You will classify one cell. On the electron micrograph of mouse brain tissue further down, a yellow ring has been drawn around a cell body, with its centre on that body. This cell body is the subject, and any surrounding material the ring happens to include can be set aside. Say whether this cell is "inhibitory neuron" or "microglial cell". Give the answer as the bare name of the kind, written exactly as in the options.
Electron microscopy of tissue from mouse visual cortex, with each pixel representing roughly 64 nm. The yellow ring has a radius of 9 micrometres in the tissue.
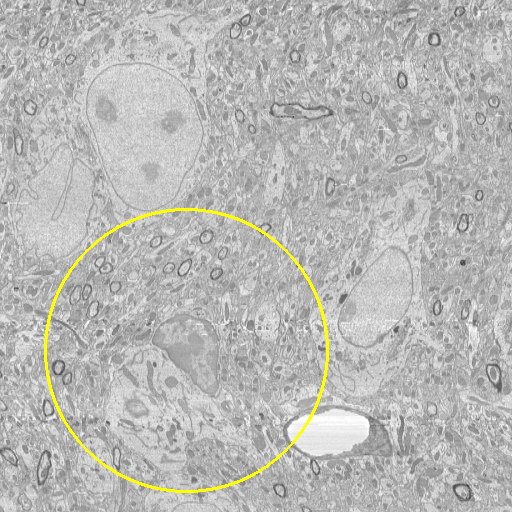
microglial cell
